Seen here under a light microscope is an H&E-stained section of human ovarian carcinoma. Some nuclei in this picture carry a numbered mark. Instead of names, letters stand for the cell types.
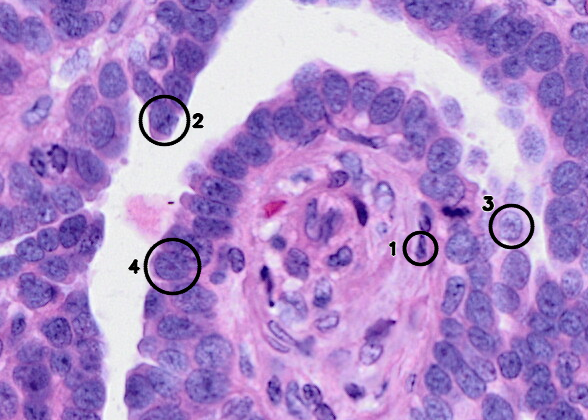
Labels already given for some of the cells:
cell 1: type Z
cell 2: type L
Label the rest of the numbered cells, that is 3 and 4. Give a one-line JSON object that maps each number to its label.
{"3": "type L", "4": "type L"}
